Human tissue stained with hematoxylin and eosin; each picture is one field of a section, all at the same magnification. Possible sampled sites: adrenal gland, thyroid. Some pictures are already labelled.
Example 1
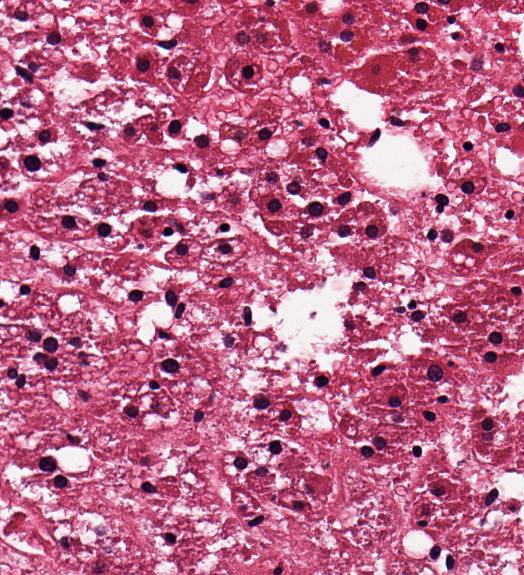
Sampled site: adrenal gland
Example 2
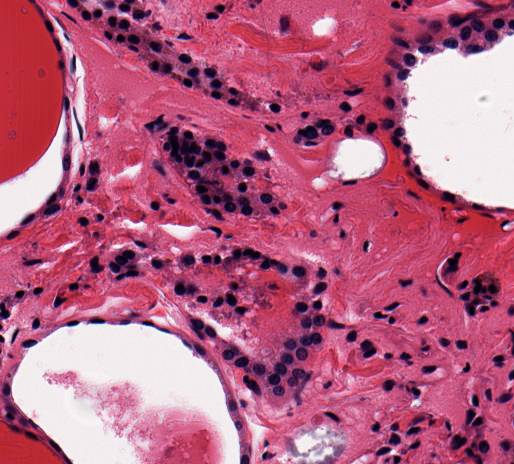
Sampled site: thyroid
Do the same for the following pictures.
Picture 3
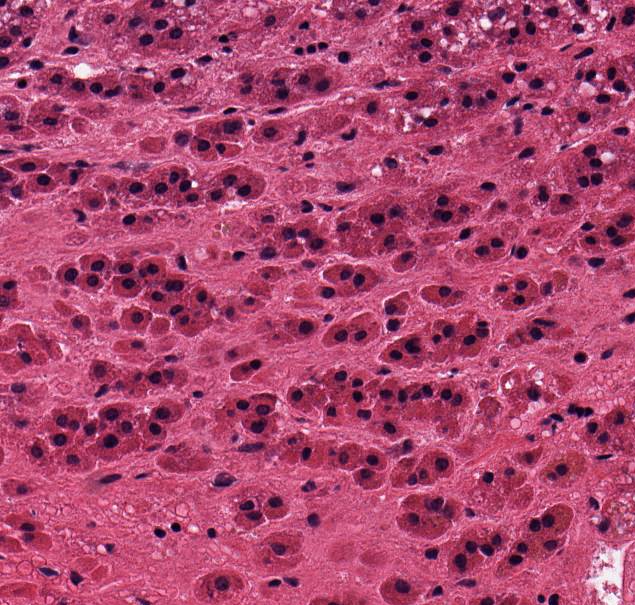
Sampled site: adrenal gland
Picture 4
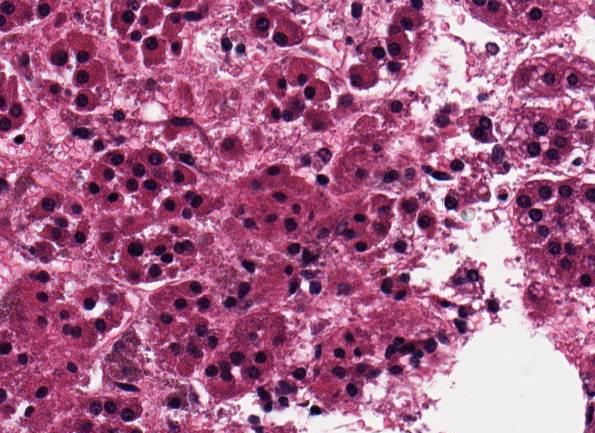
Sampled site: adrenal gland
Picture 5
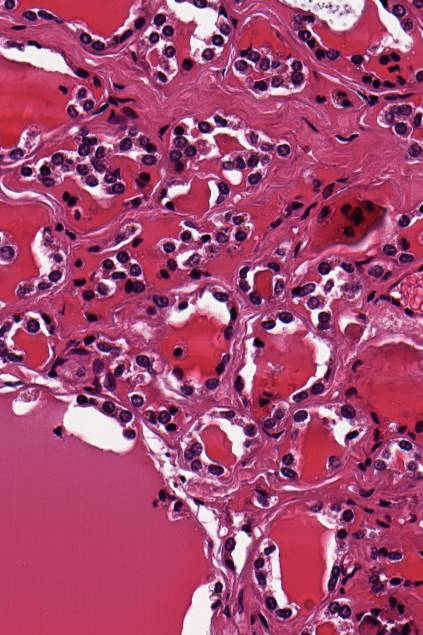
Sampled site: thyroid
